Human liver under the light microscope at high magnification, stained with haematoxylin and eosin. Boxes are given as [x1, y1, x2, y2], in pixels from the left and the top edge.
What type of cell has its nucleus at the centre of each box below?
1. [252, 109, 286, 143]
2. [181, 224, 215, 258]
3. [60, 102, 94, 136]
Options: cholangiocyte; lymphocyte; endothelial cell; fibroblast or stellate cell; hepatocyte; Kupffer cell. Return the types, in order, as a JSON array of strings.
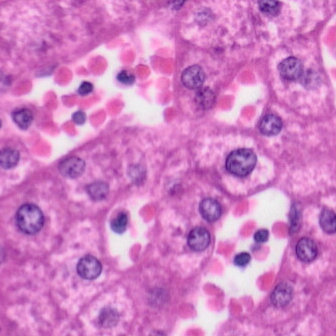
["hepatocyte", "hepatocyte", "lymphocyte"]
